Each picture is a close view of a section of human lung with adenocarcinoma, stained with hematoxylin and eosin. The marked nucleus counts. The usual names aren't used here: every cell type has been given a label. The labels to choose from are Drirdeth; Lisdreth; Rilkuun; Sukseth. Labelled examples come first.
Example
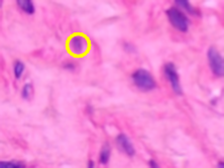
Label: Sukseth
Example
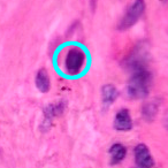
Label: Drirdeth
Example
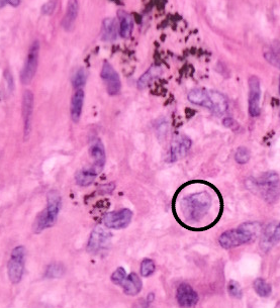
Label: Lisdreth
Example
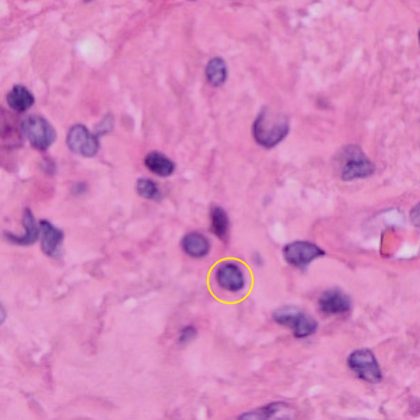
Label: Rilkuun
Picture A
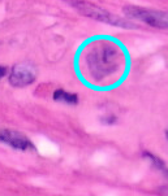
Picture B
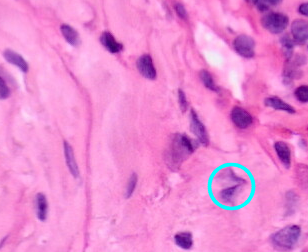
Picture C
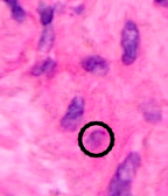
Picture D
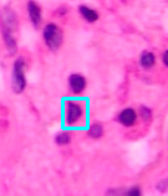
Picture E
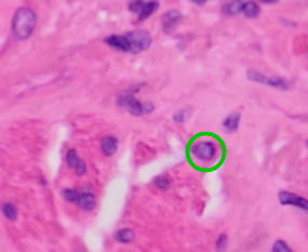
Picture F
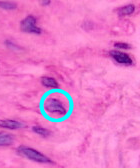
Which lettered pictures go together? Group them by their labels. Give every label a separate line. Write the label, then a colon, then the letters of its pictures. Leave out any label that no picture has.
Lisdreth: A, B
Rilkuun: E
Sukseth: C, D, F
